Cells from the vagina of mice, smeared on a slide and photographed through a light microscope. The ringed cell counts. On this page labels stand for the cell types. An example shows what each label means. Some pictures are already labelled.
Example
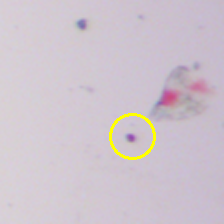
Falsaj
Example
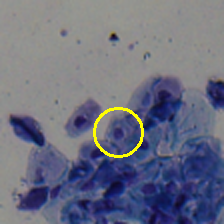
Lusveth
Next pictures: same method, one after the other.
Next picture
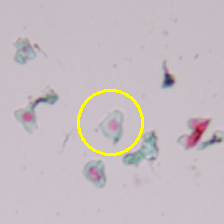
Lusveth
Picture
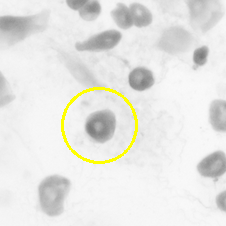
Lusveth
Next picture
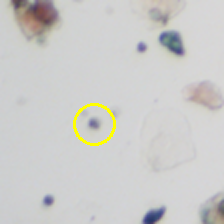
Falsaj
